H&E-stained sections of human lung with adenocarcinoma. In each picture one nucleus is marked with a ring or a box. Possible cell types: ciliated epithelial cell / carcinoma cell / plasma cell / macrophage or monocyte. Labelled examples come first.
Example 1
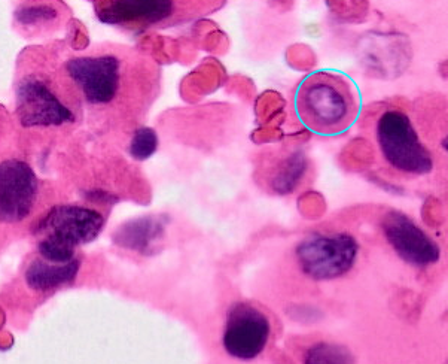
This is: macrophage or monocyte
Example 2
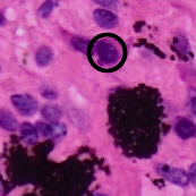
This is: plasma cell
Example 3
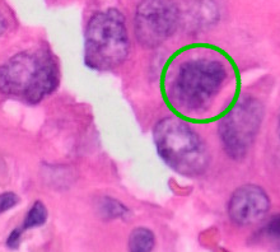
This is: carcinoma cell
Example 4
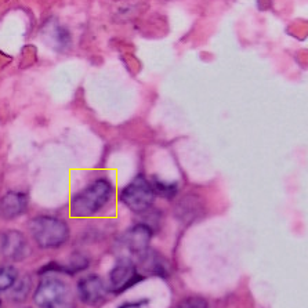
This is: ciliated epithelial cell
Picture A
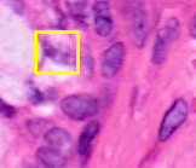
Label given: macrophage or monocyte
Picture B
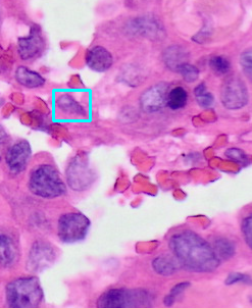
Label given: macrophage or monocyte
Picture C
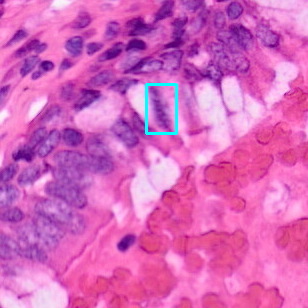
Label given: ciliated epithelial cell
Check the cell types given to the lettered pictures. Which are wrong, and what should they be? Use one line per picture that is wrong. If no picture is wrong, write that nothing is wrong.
A: not macrophage or monocyte but ciliated epithelial cell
